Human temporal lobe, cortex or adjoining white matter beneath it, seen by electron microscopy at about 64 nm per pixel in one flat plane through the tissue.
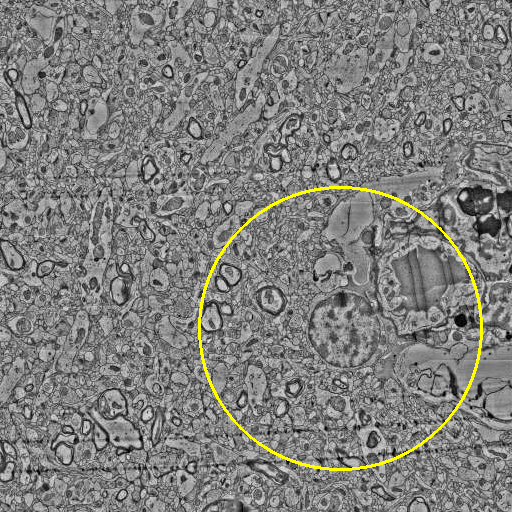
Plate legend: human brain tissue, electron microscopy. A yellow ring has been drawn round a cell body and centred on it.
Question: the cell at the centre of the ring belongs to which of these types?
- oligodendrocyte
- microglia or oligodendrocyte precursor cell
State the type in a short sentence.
The cell in the middle of the ring is an oligodendrocyte.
